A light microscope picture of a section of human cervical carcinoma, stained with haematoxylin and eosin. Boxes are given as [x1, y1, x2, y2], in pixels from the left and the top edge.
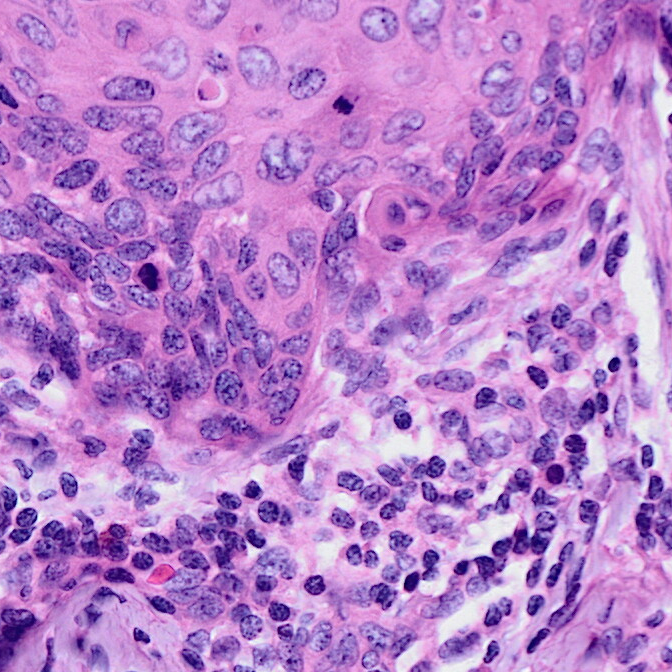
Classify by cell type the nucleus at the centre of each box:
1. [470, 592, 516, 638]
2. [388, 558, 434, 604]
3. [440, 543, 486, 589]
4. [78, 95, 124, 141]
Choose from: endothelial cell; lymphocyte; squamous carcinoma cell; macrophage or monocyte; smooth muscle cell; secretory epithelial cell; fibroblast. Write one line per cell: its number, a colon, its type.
1: lymphocyte
2: lymphocyte
3: lymphocyte
4: squamous carcinoma cell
